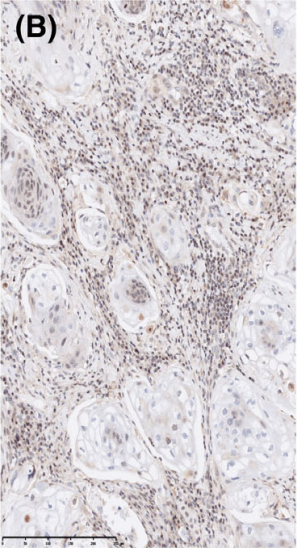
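Tumor cells of a carcinoma lie in rounded nests of large cells with abundant pale cytoplasm, some nests showing concentric layered centres. The nests are surrounded by dense stroma crowded with small dark nuclei, many of them brown, while only a few nuclei within the nests are brown.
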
